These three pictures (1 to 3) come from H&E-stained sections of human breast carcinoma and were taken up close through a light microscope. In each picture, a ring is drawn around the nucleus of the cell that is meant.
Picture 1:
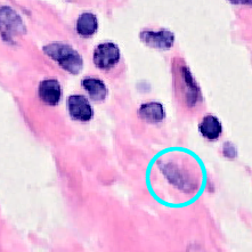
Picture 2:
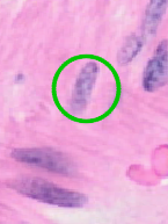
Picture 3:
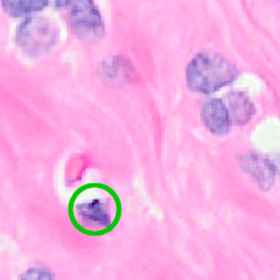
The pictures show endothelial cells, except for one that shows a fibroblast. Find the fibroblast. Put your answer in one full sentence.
The picture with the fibroblast is 1.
